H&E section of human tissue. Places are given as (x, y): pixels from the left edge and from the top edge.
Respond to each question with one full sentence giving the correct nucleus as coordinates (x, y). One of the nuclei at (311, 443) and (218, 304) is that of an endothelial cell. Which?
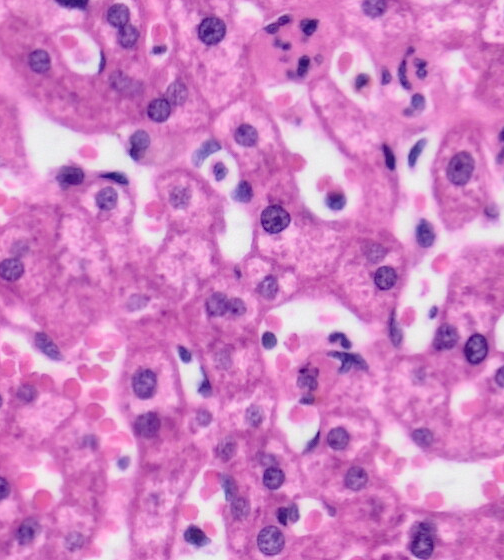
The nucleus located at (311, 443) is the one held within an endothelial cell.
